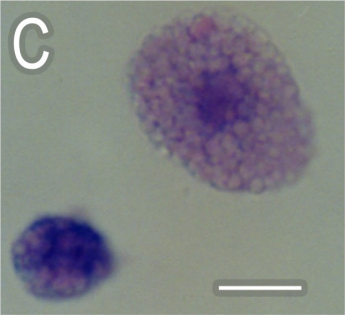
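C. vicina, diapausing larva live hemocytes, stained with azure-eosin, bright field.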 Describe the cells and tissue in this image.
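At the upper right is a much larger oval mature cell whose cytoplasm is packed with small round granules, stained pinkish-violet, out to its margin. Its centre is a darker purple patch. Compare the size and the colour of the two cells.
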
